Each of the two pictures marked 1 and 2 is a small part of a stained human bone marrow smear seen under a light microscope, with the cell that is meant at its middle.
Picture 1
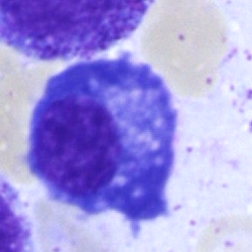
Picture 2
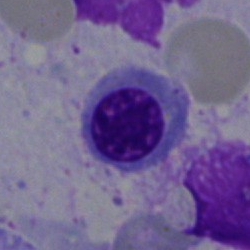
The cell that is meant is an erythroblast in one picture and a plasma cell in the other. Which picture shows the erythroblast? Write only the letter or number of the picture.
2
